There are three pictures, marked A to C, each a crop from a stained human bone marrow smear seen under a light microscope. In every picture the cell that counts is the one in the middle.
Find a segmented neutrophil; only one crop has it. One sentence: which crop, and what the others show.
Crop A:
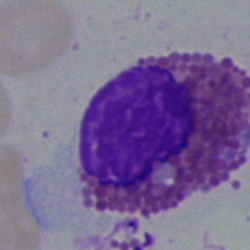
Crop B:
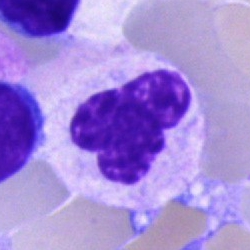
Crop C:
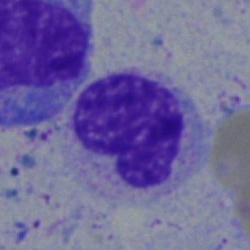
Crop B is identified as a segmented neutrophil, while crop A is an eosinophil and crop C is a band neutrophil.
